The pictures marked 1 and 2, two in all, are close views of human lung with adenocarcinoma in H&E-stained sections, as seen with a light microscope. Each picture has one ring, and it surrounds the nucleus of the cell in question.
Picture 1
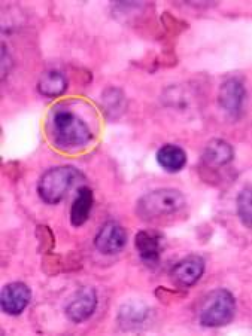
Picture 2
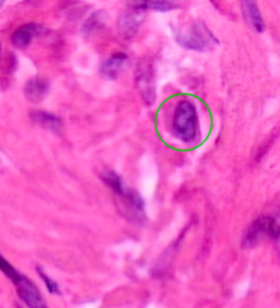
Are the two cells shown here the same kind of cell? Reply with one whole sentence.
No, they differ: the cell is a “macrophage or monocyte” in picture 1 and a plasma cell in picture 2.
